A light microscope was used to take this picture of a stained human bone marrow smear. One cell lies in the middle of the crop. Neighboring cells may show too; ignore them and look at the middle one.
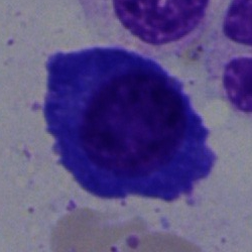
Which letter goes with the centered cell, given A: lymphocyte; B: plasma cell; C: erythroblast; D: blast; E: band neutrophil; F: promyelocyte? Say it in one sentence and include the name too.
That cell in the center is a plasma cell, hence option B.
